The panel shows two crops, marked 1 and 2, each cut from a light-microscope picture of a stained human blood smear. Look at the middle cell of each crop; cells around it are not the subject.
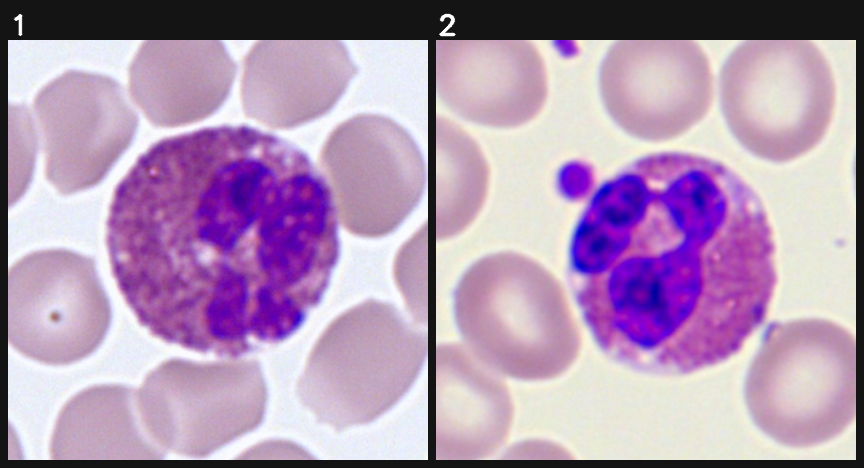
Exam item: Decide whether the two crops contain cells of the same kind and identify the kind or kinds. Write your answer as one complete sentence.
Yes, the cells that both crops show at the centre are eosinophils.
